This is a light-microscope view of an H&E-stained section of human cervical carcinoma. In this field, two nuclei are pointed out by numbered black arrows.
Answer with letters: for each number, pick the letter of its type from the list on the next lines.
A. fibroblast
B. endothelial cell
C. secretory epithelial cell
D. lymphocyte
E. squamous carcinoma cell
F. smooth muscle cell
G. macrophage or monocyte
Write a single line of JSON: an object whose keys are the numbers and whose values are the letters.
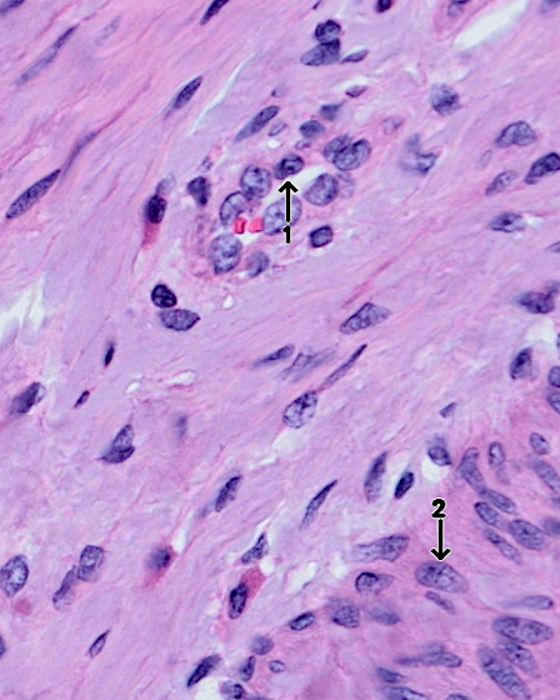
{"1": "B", "2": "F"}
